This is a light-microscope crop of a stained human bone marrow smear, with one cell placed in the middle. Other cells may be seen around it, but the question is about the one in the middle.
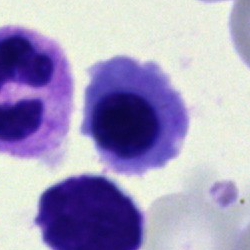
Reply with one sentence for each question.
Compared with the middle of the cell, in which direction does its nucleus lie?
Seen from the middle of the cell, the nucleus lies toward the lower left.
